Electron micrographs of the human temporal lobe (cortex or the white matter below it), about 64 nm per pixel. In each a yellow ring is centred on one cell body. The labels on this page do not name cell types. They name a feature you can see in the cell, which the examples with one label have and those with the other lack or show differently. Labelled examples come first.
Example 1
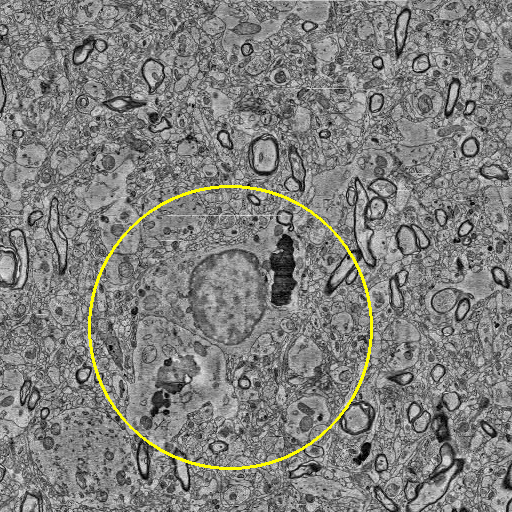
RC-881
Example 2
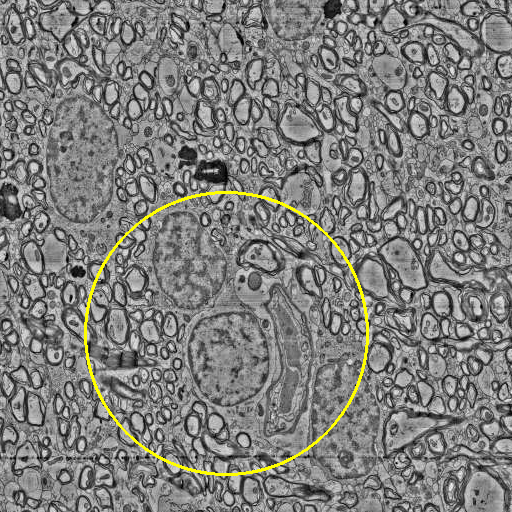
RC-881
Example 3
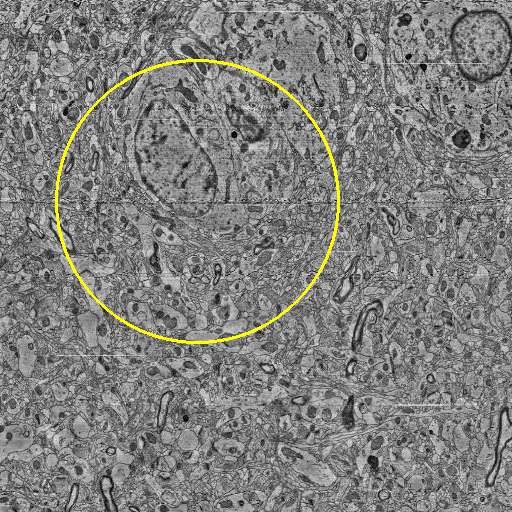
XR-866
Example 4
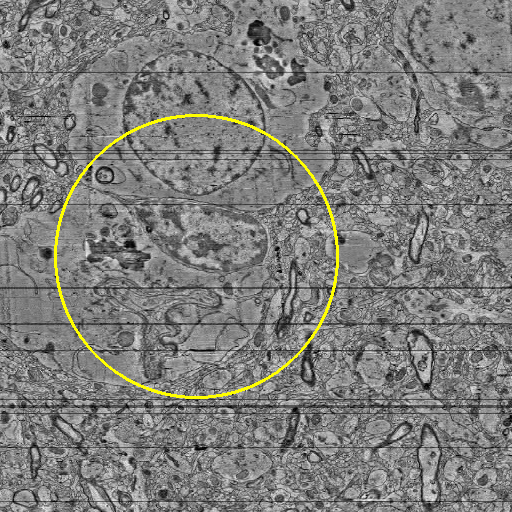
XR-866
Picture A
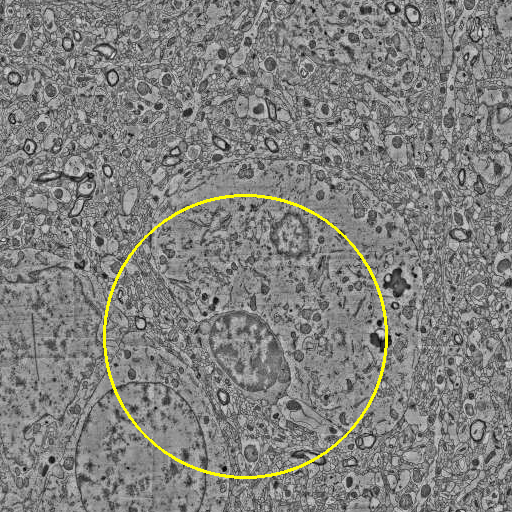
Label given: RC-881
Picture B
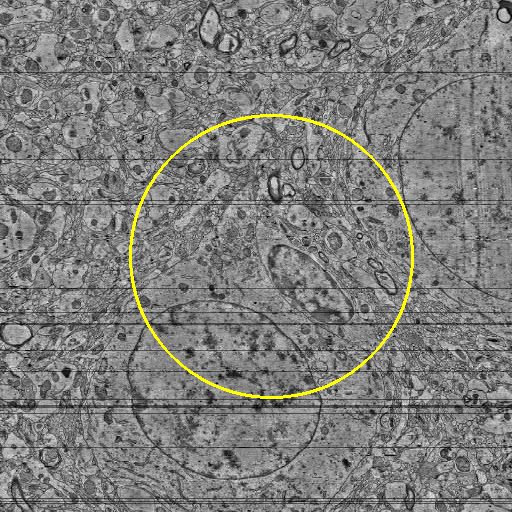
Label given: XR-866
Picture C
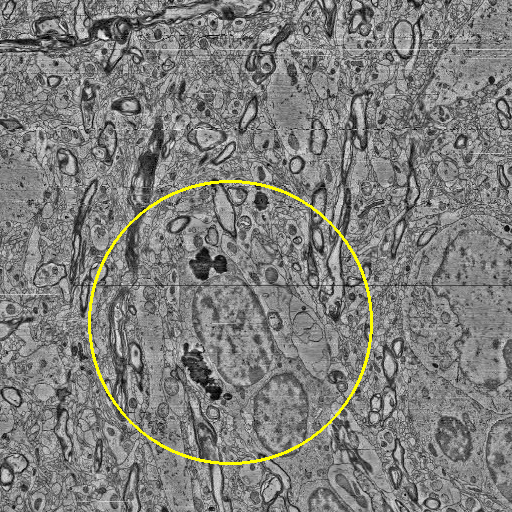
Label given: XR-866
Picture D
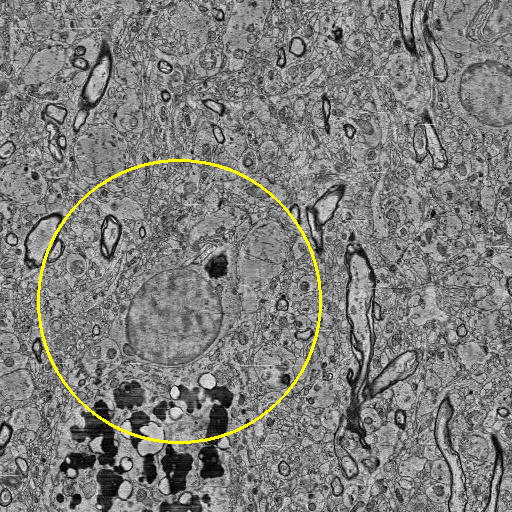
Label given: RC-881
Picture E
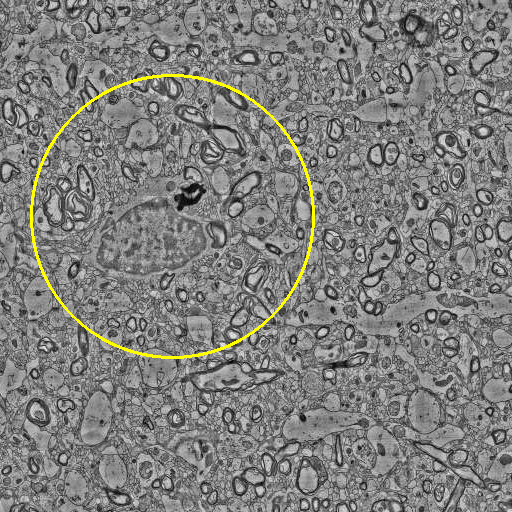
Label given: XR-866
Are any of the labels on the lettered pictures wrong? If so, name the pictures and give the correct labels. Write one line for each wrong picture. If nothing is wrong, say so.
A: XR-866, not RC-881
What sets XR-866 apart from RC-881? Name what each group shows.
XR-866, clearly elongated nuclei; RC-881, round or nearly round nuclei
